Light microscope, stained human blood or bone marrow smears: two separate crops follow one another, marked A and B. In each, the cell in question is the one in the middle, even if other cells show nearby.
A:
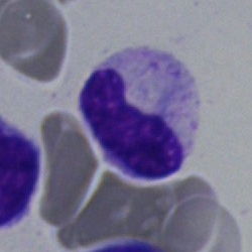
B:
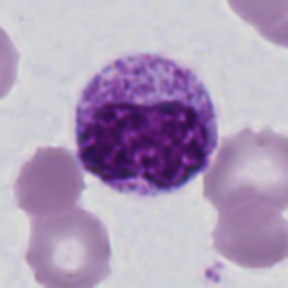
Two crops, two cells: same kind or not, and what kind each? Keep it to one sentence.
No, crop A carries a band neutrophil and crop B carries a metamyelocyte.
